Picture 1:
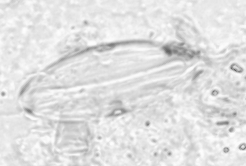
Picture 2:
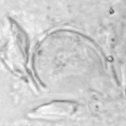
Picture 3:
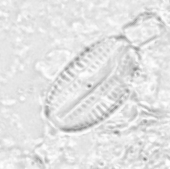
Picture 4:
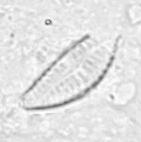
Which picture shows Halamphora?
Picture 1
